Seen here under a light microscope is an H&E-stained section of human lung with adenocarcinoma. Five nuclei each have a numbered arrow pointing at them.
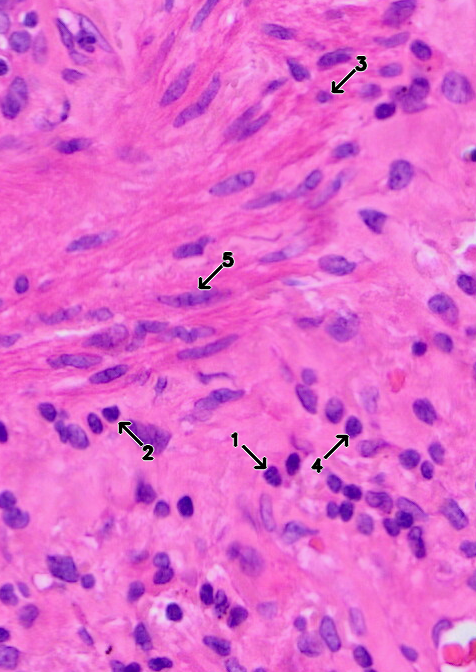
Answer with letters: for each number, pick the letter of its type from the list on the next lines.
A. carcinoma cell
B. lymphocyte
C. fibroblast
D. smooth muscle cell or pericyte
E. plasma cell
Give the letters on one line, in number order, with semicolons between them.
B; B; D; B; D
